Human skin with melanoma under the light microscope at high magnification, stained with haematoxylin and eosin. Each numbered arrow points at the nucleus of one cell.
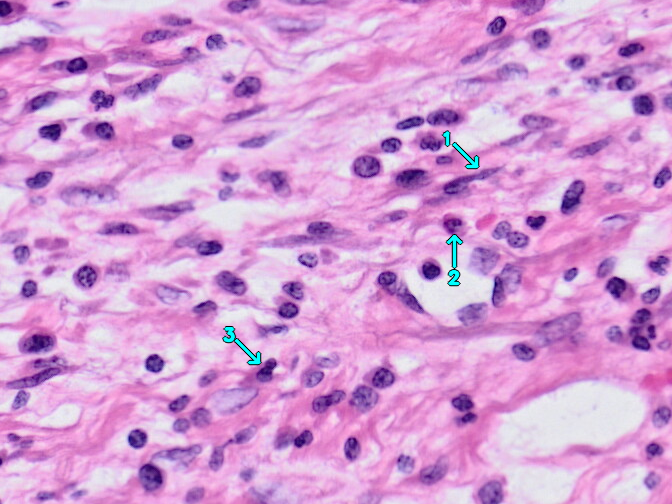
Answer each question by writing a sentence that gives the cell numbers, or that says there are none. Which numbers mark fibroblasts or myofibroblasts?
Among the labelled cells, only the cell labelled 1 is a fibroblast or myofibroblast.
